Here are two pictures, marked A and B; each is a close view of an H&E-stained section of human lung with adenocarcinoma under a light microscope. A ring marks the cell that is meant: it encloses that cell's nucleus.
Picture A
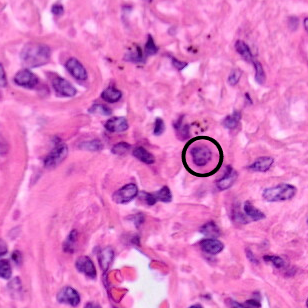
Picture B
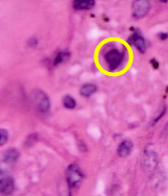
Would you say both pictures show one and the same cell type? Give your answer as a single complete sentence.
Yes, both are plasma cells.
